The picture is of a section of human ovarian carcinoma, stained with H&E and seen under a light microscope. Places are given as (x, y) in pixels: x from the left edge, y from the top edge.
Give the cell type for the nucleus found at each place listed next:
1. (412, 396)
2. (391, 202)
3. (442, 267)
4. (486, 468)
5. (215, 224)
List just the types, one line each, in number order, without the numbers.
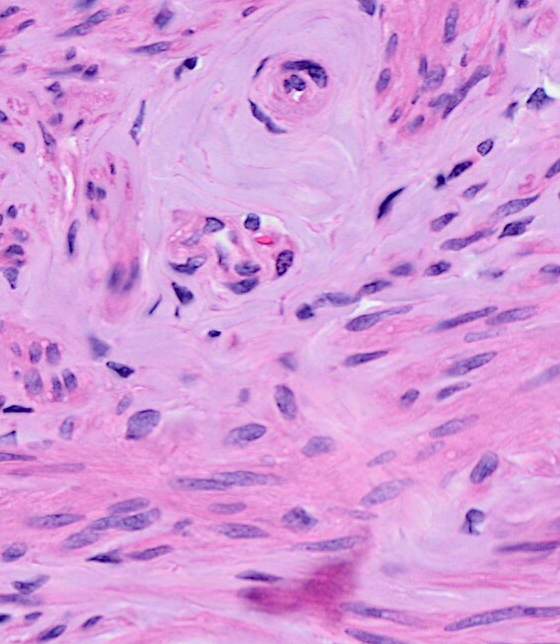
smooth muscle cell
fibroblast
smooth muscle cell
smooth muscle cell
endothelial cell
